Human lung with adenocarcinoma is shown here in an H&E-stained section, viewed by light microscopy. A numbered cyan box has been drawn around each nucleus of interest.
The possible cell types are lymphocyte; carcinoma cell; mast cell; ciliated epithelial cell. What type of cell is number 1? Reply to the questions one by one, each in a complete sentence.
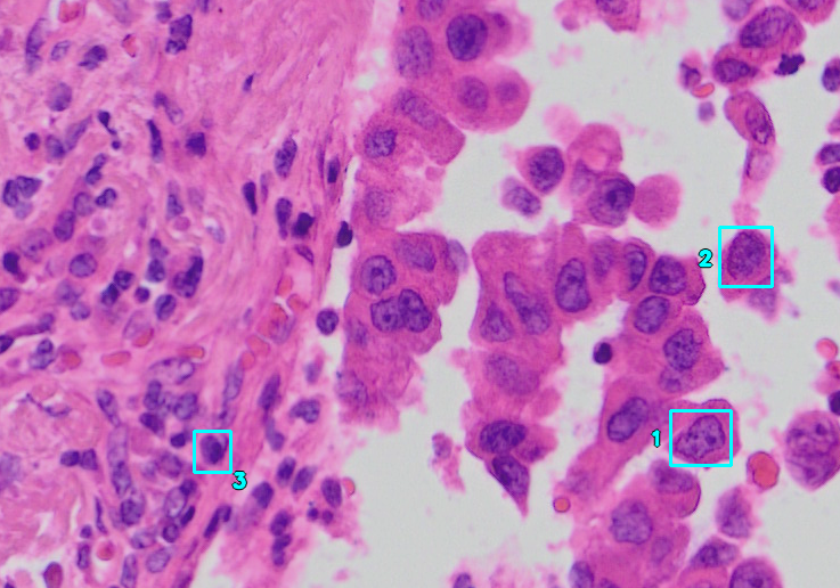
The one numbered 1 among the marked cells is a carcinoma cell.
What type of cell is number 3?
Cell 3 of the marked set is a lymphocyte.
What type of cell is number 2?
The cell referenced by the number 2 is a carcinoma cell in this field.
